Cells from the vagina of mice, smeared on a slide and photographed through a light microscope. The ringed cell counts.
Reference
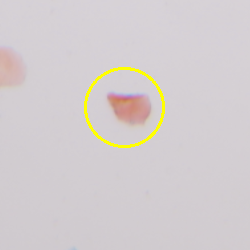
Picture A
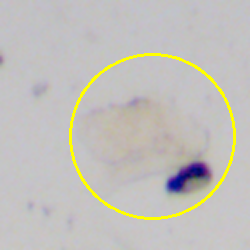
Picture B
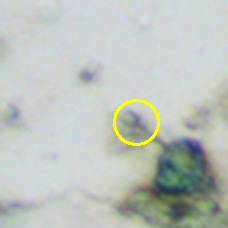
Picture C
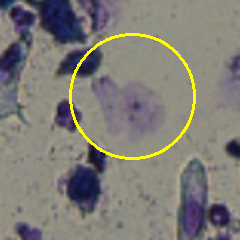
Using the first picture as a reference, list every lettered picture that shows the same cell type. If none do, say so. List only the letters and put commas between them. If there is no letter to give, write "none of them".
A, C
